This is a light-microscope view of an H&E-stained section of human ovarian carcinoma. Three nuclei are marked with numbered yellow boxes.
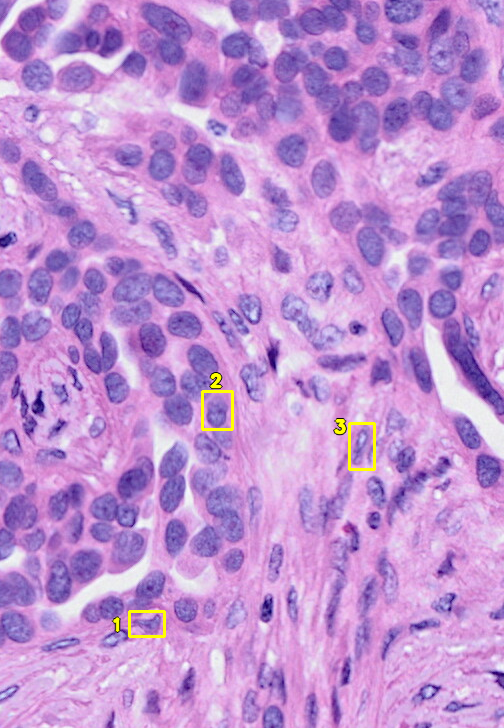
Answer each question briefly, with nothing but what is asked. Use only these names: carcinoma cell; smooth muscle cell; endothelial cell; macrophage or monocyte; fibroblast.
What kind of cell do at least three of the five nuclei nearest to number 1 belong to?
carcinoma cell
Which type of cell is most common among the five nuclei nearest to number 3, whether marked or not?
fibroblast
